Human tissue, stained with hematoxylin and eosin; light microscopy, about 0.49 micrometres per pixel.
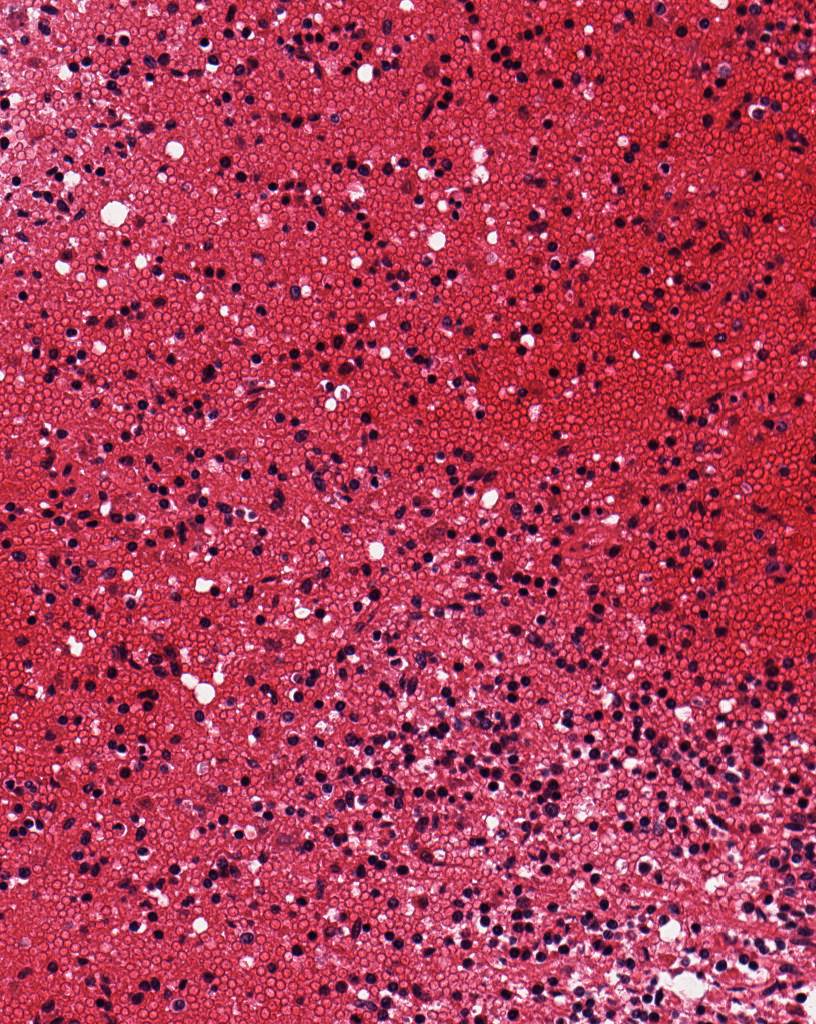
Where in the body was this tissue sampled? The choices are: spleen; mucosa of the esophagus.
spleen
